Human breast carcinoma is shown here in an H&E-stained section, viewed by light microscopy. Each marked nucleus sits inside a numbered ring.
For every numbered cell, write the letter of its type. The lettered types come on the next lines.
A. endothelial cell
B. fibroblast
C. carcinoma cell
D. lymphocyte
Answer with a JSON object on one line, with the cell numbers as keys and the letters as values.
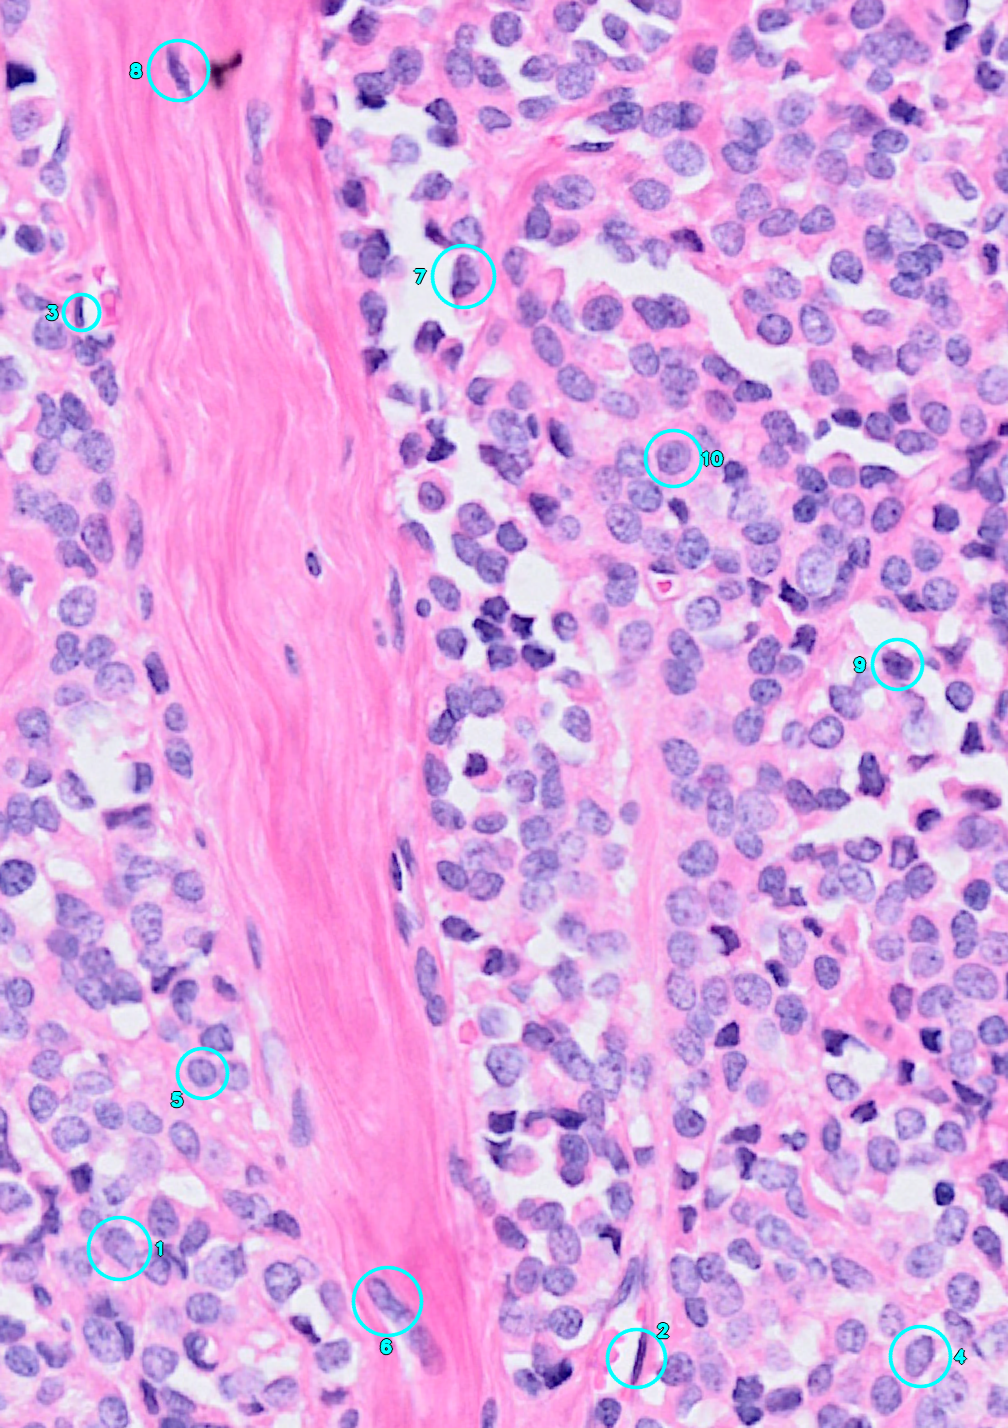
{"1": "C", "2": "A", "3": "A", "4": "C", "5": "C", "6": "B", "7": "C", "8": "B", "9": "C", "10": "C"}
